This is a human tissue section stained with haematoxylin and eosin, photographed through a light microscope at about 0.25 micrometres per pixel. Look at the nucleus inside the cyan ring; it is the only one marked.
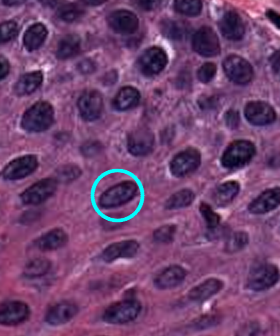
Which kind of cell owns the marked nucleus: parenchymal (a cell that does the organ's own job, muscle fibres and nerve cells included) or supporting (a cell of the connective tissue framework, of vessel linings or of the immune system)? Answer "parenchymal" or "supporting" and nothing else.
parenchymal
